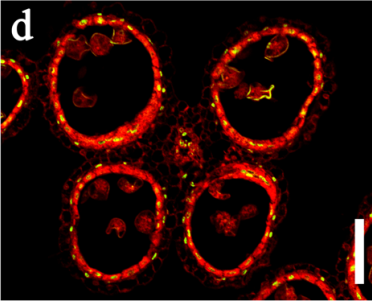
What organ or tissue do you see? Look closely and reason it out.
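Four rounded locules arranged around a central connective. Each locule is bounded by a multilayered wall of cells. Loose rounded cells lie free inside the locules. That points to this answer: anthers.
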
